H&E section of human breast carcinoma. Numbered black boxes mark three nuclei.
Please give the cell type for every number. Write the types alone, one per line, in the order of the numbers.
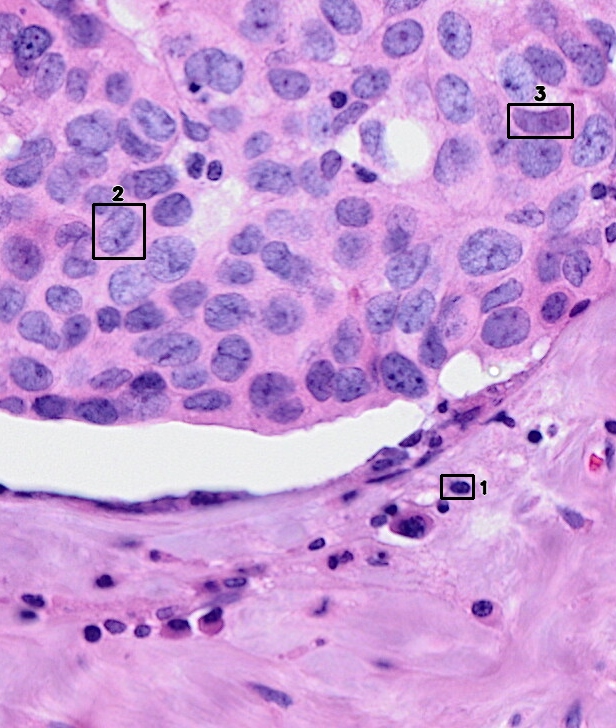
lymphocyte
carcinoma cell
carcinoma cell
